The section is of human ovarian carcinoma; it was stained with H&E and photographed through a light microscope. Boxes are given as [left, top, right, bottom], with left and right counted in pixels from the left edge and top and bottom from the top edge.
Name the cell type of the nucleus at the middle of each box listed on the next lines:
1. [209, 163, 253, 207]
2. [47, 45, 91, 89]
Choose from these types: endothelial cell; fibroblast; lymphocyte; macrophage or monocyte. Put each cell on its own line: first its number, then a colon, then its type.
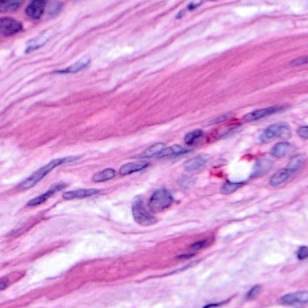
1: endothelial cell
2: fibroblast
